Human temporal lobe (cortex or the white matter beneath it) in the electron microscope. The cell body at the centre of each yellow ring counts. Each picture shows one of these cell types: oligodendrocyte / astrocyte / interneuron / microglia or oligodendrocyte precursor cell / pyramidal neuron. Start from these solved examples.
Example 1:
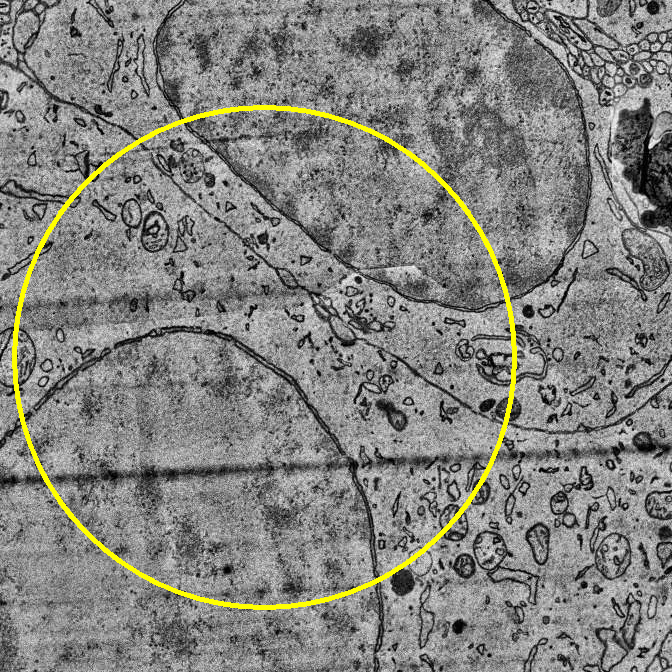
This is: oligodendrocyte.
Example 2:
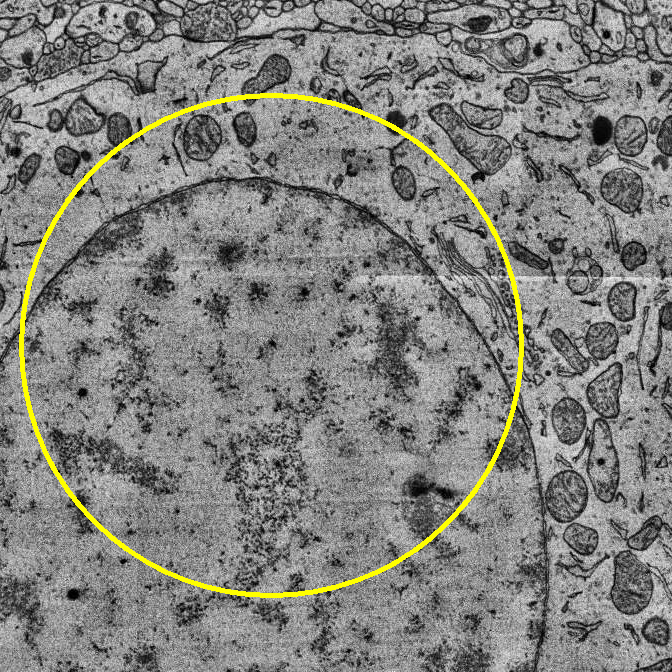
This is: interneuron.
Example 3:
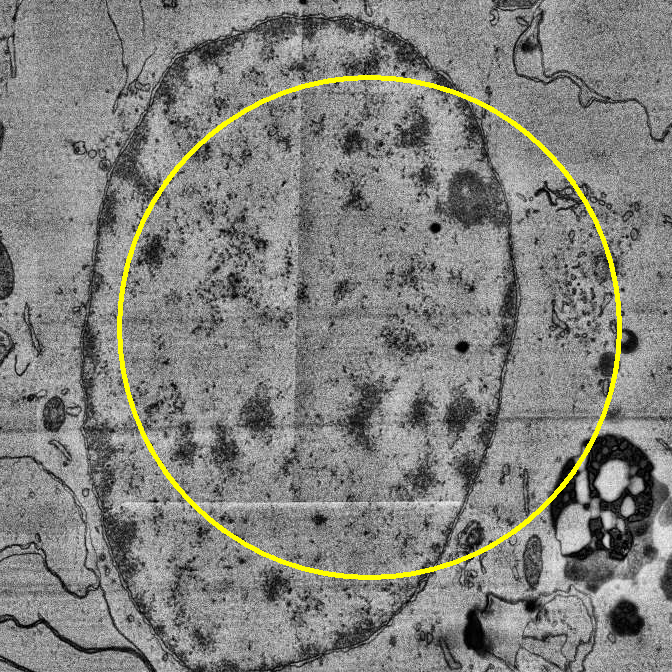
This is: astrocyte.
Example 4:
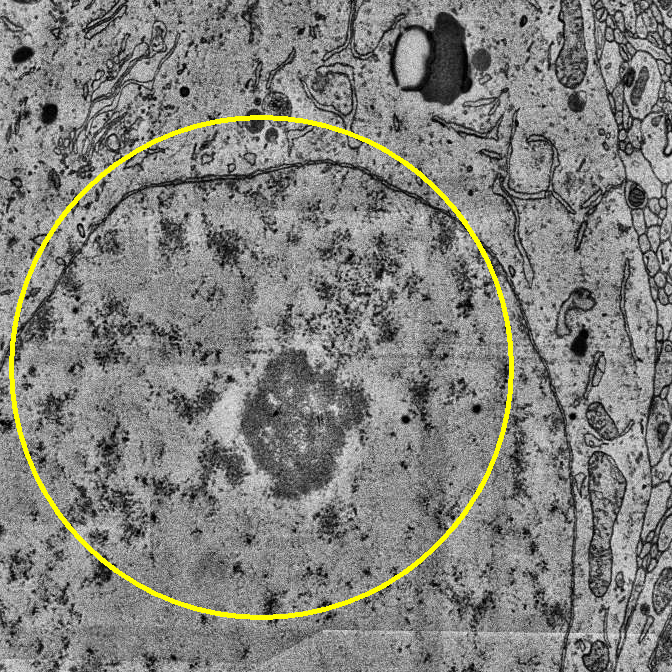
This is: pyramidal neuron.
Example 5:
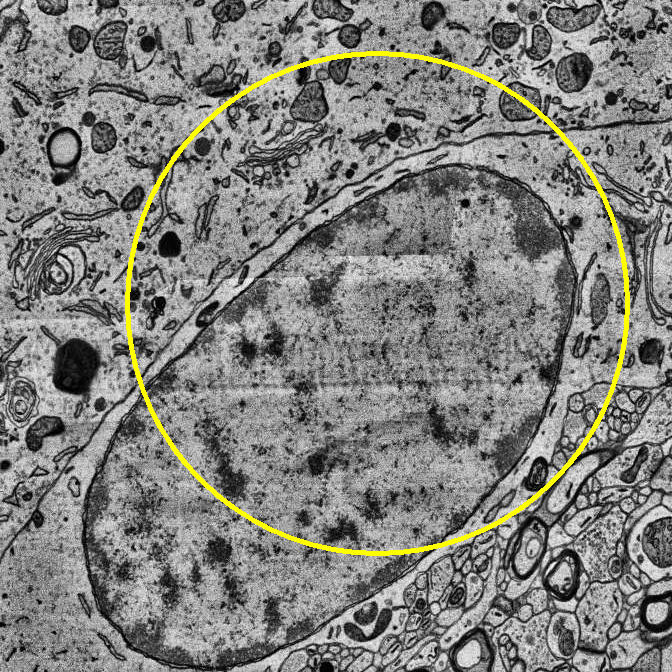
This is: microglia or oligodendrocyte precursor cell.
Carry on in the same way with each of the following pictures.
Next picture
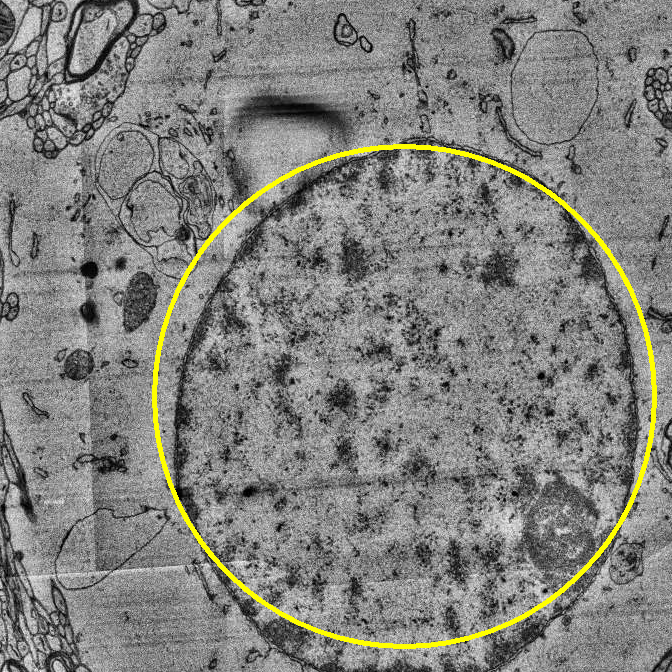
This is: astrocyte.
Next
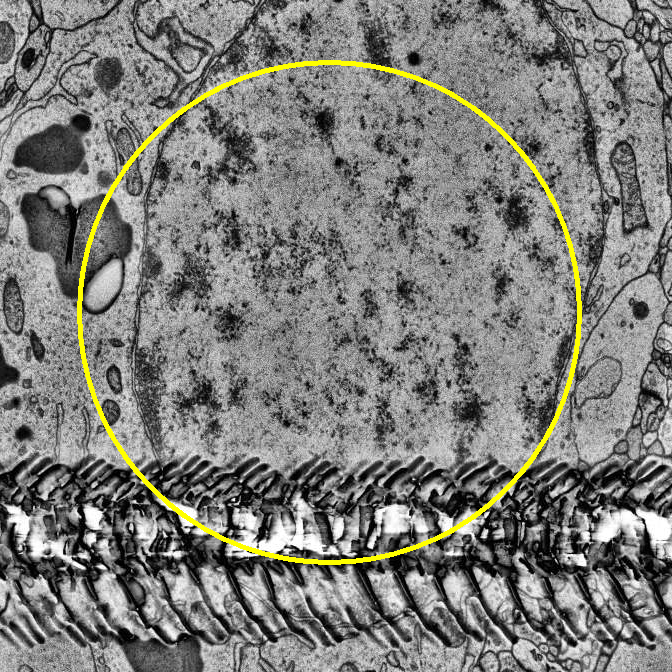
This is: interneuron.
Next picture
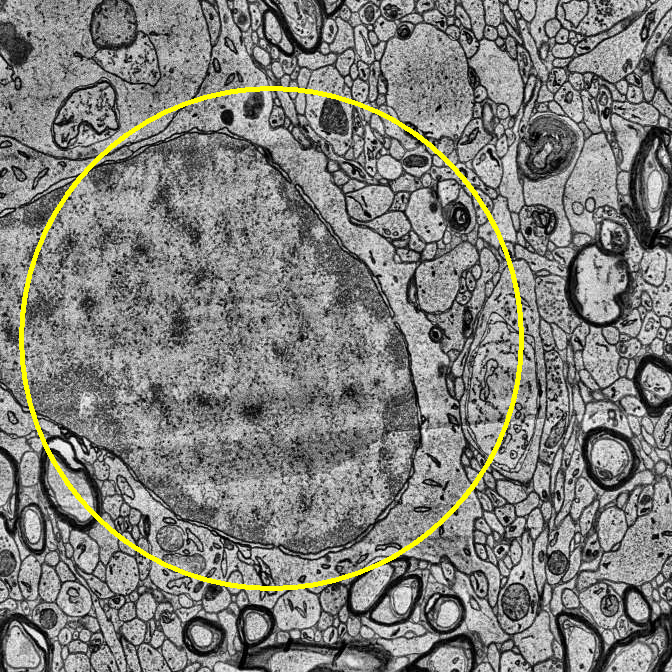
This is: microglia or oligodendrocyte precursor cell.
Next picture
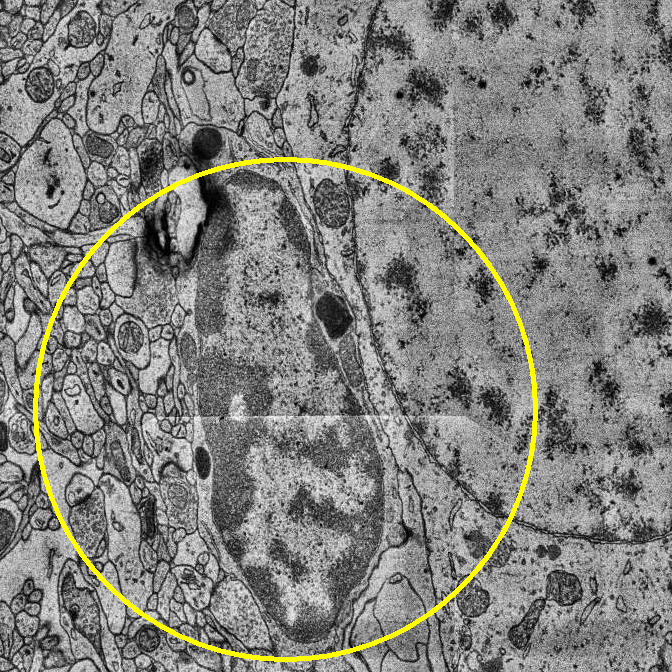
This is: microglia or oligodendrocyte precursor cell.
